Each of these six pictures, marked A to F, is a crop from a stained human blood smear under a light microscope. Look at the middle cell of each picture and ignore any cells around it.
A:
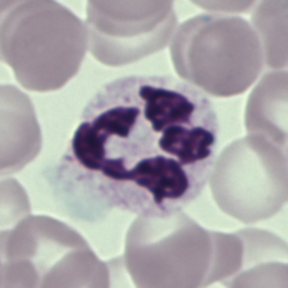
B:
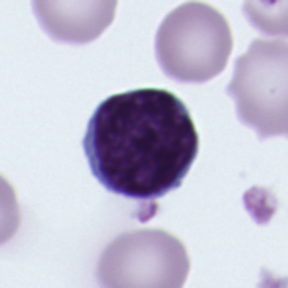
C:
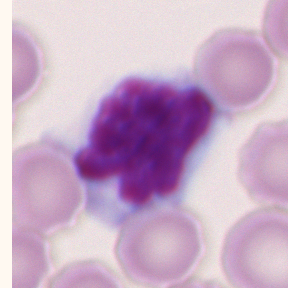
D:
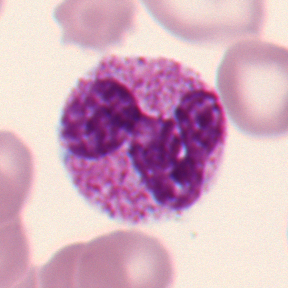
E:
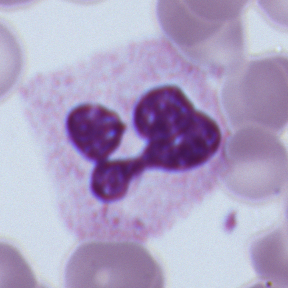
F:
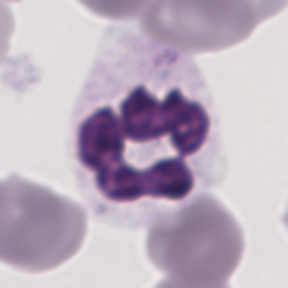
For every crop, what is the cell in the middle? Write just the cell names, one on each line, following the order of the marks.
segmented neutrophil
typical lymphocyte
typical lymphocyte
segmented neutrophil
segmented neutrophil
segmented neutrophil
